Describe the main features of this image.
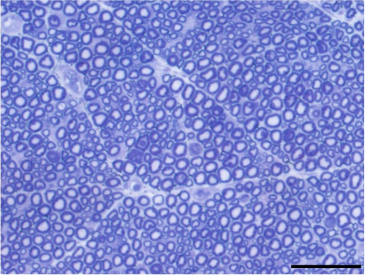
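This is a cross section of a peripheral nerve, filled with closely packed myelinated nerve fibres. Each fibre appears as a round to slightly polygonal profile with a dark blue ring of myelin around a pale central axon, and the fibres vary in diameter from small to large. A few thin, paler bands of connective tissue run between the fibres and divide them into loose groups.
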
